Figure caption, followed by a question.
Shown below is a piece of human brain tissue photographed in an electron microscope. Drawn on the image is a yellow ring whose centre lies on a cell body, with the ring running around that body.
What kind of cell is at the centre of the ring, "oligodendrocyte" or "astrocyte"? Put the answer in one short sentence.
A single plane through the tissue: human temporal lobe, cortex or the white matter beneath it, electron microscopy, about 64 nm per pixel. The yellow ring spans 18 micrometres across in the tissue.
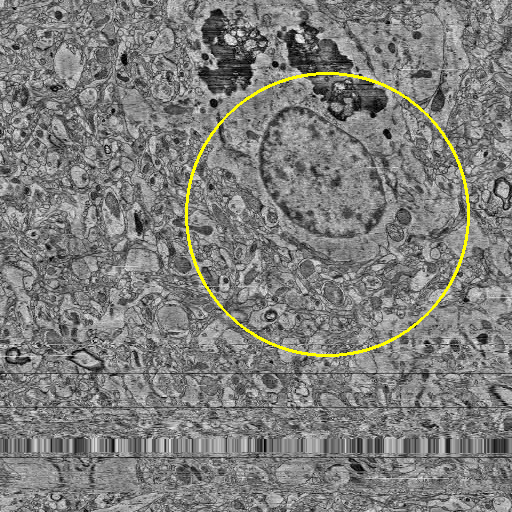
The ring marks the cell body of an astrocyte.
